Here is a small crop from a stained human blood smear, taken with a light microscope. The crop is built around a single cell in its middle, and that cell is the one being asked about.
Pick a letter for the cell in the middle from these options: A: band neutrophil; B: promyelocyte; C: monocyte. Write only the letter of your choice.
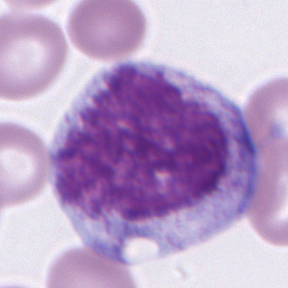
B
